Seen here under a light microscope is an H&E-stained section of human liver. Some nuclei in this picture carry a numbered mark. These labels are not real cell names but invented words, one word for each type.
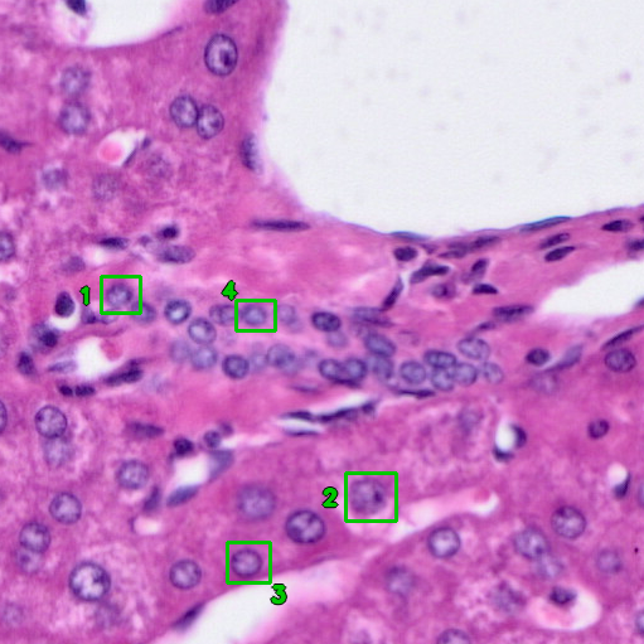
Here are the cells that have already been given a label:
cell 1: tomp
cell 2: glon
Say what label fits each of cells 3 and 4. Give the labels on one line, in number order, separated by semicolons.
glon; tomp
